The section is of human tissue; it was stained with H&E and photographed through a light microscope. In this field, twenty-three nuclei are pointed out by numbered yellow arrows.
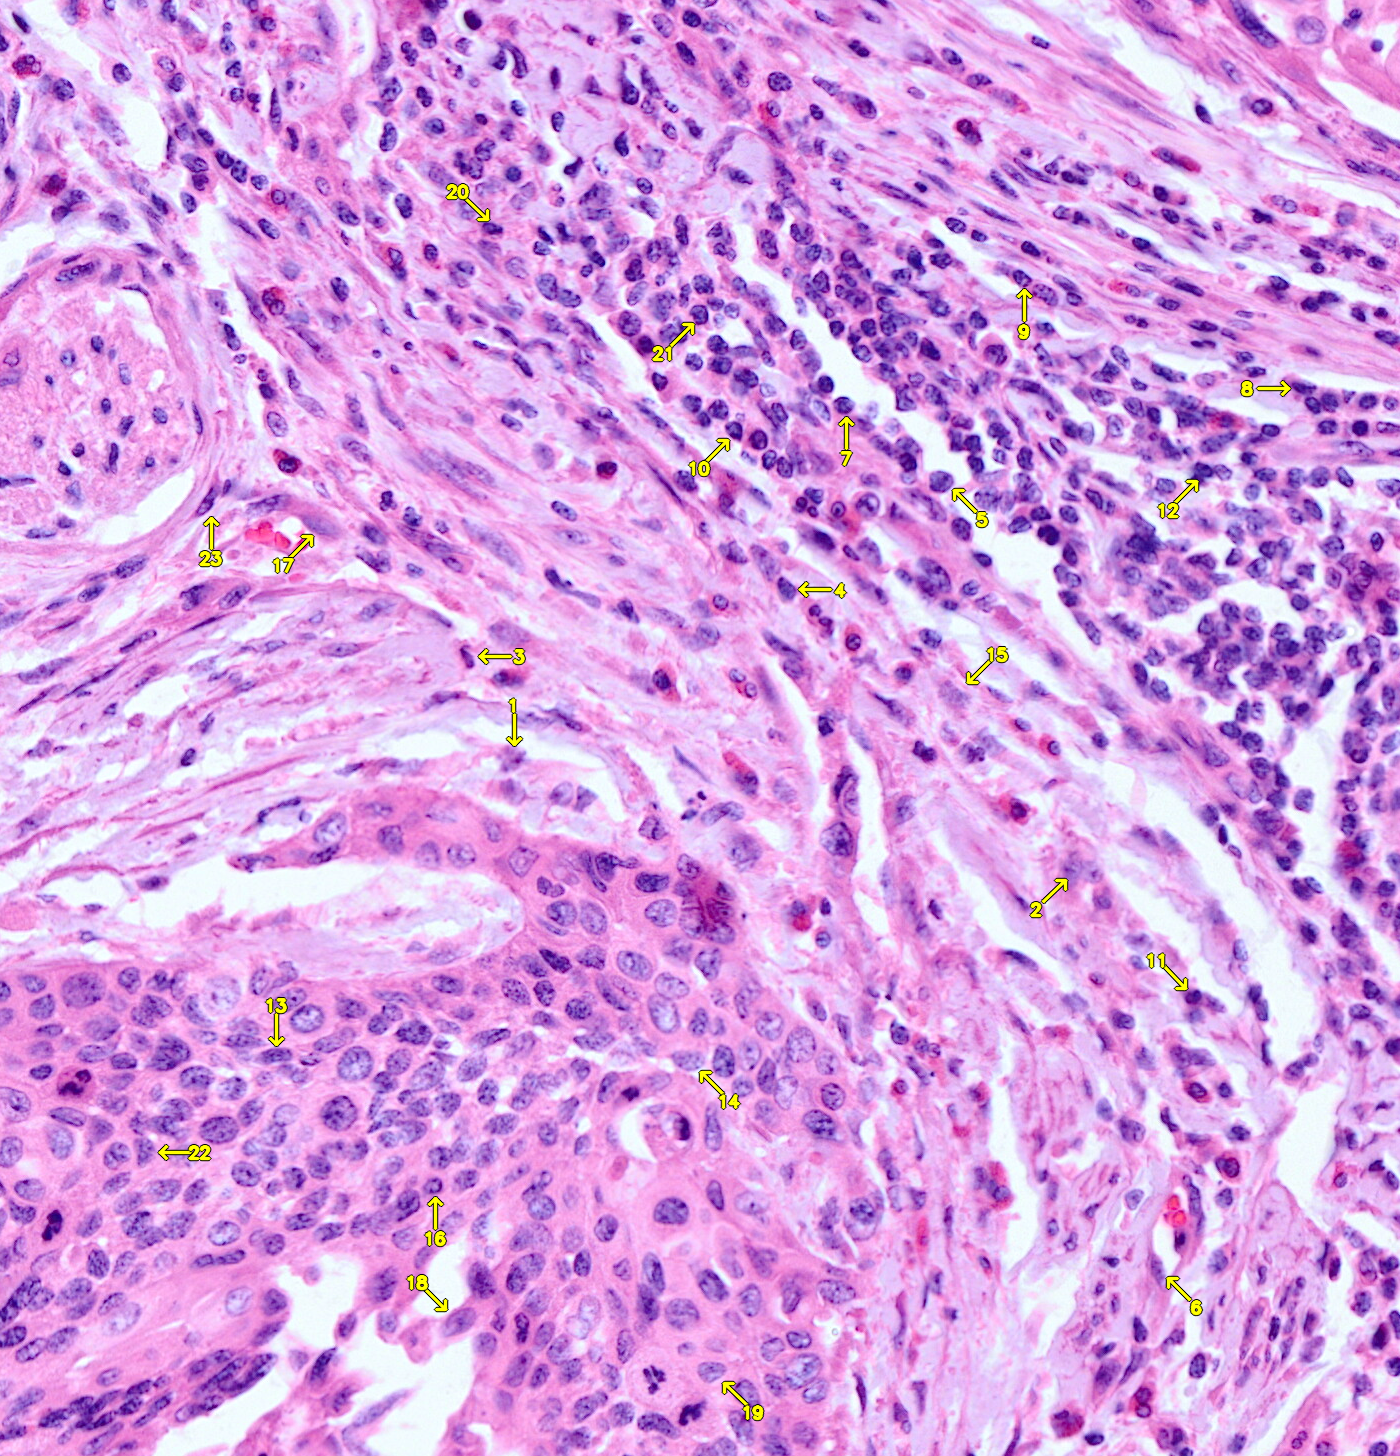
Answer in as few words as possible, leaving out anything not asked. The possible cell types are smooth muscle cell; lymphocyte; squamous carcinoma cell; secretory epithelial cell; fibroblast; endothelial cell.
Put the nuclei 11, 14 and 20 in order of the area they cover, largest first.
14, 11, 20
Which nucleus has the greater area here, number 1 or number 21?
1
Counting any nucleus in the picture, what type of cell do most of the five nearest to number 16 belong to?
squamous carcinoma cell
